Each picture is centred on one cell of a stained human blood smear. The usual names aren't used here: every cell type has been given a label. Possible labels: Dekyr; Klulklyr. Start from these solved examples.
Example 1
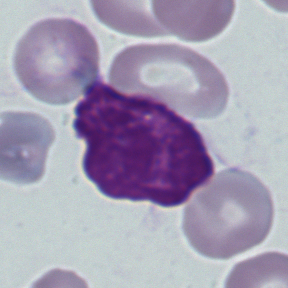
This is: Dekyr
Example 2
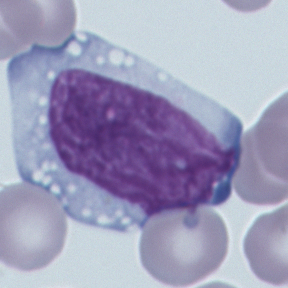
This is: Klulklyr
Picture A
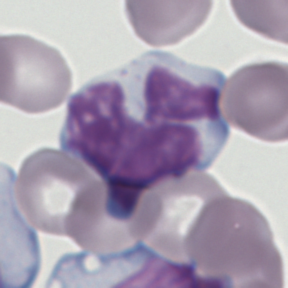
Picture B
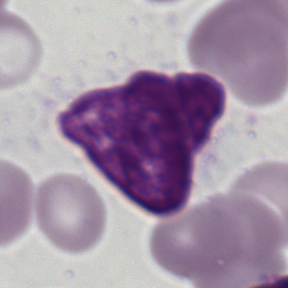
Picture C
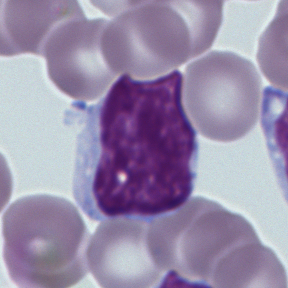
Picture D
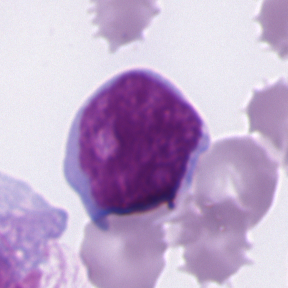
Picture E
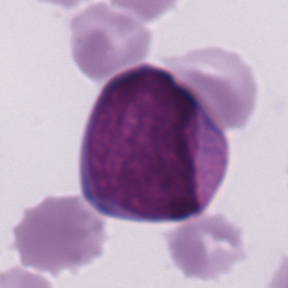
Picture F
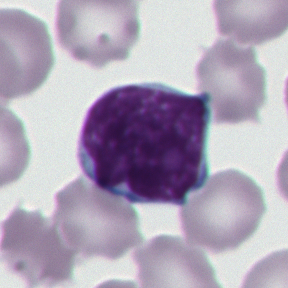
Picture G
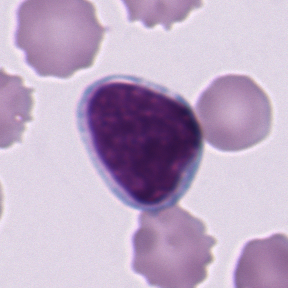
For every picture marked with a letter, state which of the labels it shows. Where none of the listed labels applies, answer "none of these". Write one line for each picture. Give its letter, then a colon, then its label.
A: Klulklyr
B: Dekyr
C: none of these
D: Klulklyr
E: Klulklyr
F: none of these
G: none of these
